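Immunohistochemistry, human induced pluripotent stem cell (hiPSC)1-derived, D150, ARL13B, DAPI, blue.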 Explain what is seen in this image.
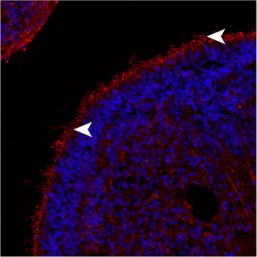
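A section through the thick curved wall of a retinal organoid, packed with many small blue nuclei arranged in a dense, layered band. Along the outer surface of the wall runs a continuous fringe of fine red puncta, the cilia, pointed out by arrowheads; weaker red speckles are spread through the tissue beneath.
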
